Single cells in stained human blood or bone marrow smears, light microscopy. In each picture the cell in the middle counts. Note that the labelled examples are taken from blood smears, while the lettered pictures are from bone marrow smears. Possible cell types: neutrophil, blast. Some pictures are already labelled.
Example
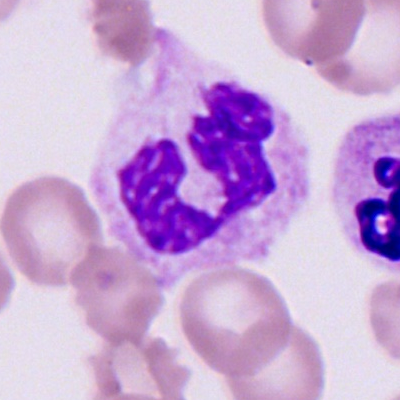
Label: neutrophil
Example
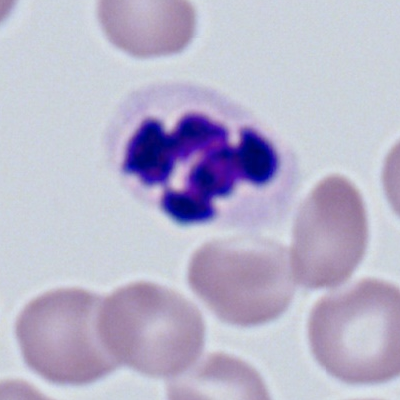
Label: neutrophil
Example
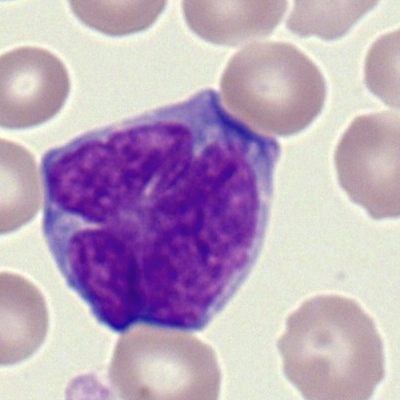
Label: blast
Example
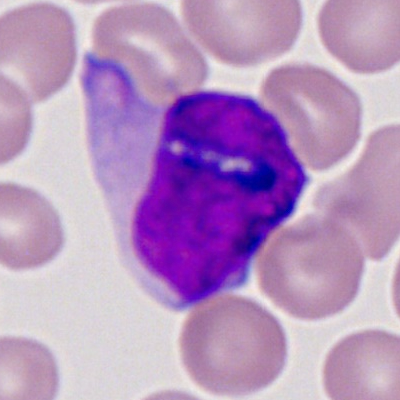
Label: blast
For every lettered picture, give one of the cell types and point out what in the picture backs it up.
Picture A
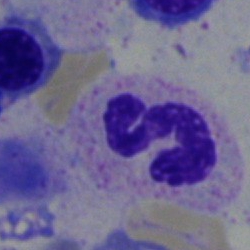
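Label: neutrophil. The cytoplasm is abundant and pale with a faint pinkish-lilac tint.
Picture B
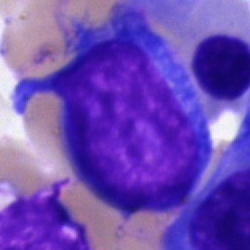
Label: blast. The cytoplasm is scant compared with the large nucleus.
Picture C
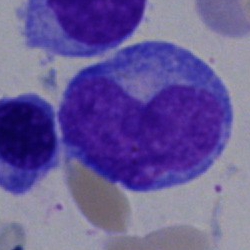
Label: blast. The chromatin is finely granular rather than coarsely clumped.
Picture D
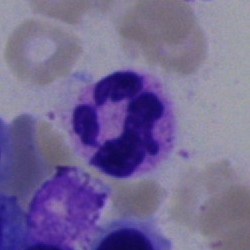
Label: neutrophil. Fine pinkish-violet granules are scattered through the cytoplasm.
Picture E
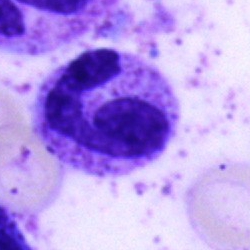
Label: neutrophil. The nucleus is a curved band bent into a C shape.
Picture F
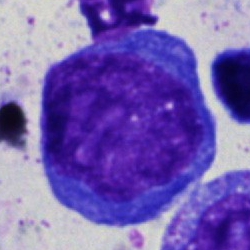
Label: blast. The cytoplasm forms a narrow rim around the nucleus.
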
